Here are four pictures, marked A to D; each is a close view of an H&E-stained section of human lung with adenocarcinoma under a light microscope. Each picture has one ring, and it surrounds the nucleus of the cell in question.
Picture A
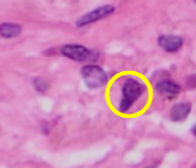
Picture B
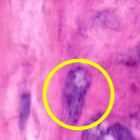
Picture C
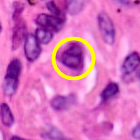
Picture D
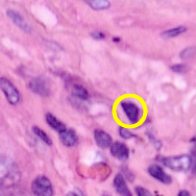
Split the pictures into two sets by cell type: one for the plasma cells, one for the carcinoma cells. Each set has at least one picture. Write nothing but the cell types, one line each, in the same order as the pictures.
plasma cell
carcinoma cell
plasma cell
plasma cell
